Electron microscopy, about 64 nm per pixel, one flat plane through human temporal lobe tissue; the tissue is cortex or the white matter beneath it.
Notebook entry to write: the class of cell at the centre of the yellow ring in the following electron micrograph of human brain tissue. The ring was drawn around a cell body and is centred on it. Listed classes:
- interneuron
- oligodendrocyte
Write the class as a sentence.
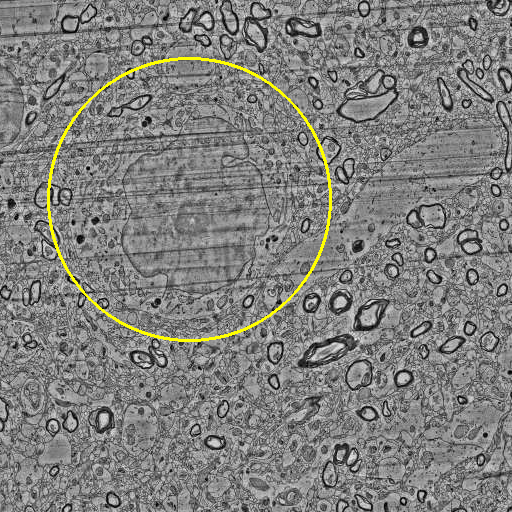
The yellow ring sits on an interneuron.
